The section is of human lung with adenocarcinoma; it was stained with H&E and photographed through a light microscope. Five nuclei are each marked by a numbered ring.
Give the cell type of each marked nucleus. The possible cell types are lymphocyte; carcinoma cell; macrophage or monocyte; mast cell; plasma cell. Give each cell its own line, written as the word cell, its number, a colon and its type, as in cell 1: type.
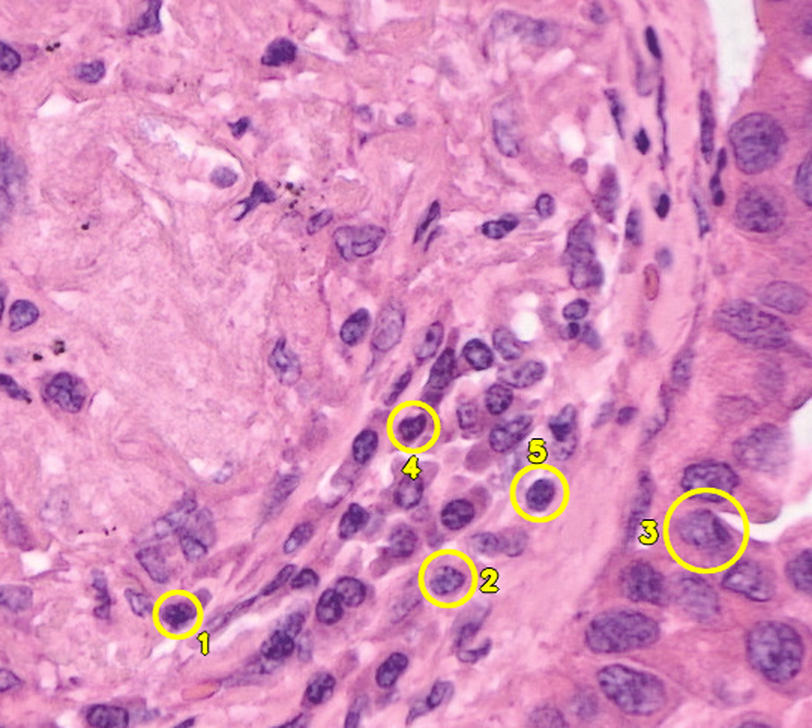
cell 1: plasma cell
cell 2: mast cell
cell 3: carcinoma cell
cell 4: plasma cell
cell 5: lymphocyte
